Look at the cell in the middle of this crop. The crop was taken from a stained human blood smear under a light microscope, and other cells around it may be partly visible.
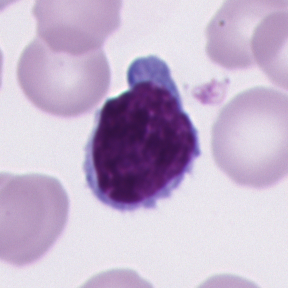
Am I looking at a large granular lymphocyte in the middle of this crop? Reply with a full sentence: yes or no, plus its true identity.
No, the correct answer for the middle cell is a typical lymphocyte, not a large granular lymphocyte.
